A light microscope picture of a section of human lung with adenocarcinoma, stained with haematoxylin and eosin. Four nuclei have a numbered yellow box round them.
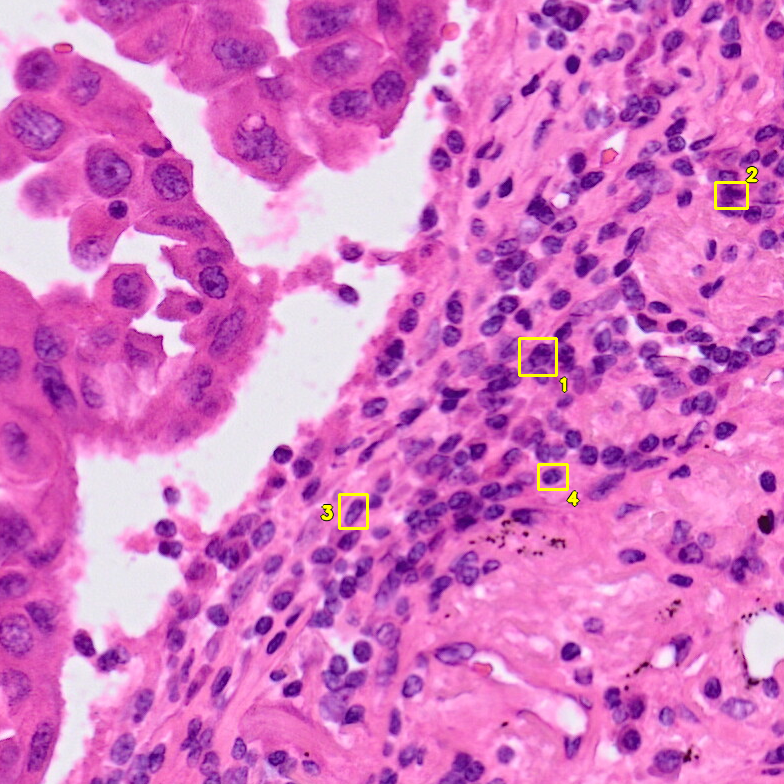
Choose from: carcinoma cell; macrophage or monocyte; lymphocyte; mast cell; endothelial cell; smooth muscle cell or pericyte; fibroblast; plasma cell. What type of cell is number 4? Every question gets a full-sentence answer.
The cell pointed out by number 4 is a lymphocyte.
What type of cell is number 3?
The nucleus with number 3 is that of a lymphocyte.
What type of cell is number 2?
In this section, the cell numbered 2 is a plasma cell.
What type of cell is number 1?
Recognised here as a lymphocyte is the cell numbered 1.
